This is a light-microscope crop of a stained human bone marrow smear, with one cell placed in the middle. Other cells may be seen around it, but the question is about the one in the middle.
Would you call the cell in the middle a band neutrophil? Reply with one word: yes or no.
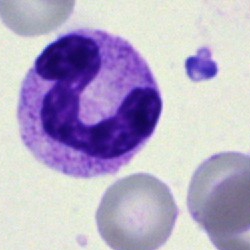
no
